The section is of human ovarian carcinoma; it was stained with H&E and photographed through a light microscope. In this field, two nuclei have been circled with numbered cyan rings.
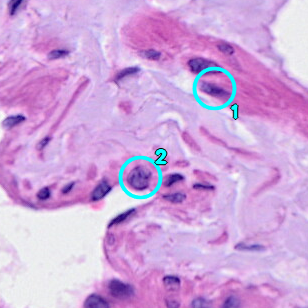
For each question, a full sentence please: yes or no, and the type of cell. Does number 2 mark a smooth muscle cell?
No, it is an endothelial cell, not a smooth muscle cell, that number 2 marks.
